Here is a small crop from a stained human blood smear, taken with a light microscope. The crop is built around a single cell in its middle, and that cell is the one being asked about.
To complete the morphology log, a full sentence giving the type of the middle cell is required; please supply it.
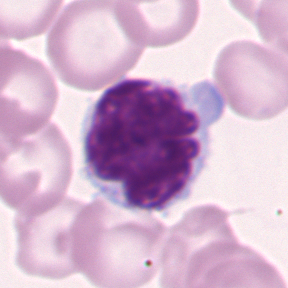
The cell of interest, in the center, is a typical lymphocyte.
